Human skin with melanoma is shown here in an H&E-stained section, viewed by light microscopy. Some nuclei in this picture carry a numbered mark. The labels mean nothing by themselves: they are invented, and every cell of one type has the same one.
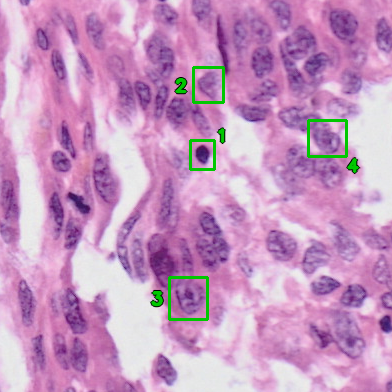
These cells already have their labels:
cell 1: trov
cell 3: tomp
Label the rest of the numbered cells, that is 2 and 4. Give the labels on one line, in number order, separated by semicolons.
tomp; tomp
